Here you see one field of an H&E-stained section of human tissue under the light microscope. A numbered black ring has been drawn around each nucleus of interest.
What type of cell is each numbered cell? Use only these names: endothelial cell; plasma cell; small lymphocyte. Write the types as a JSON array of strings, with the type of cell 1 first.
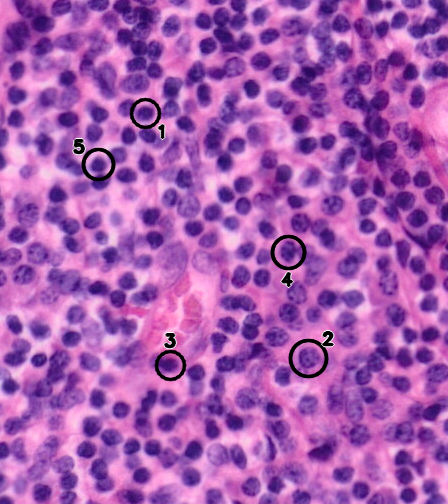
["small lymphocyte", "plasma cell", "endothelial cell", "plasma cell", "small lymphocyte"]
